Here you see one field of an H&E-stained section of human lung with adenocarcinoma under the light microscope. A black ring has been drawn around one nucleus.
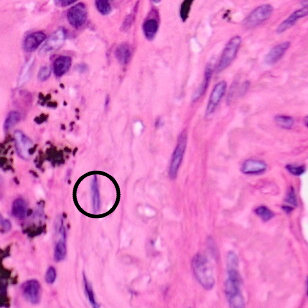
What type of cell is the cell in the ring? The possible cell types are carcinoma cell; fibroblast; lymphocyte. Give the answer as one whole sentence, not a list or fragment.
As for its identity, the cell in the ring is a fibroblast.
